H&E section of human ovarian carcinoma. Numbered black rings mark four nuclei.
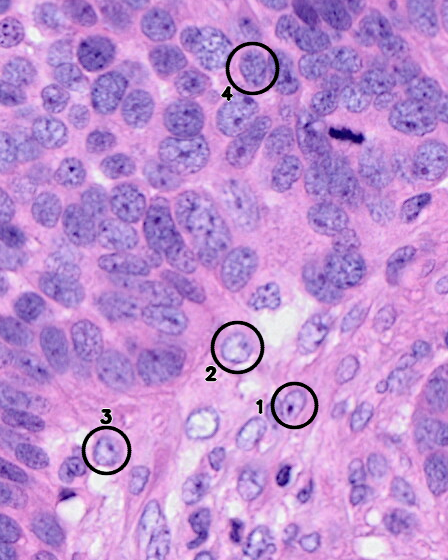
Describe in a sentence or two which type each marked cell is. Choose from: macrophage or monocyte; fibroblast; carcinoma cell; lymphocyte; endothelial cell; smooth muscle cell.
Cells 1, 2 and 3 are fibroblasts. Cell 4 is a carcinoma cell.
